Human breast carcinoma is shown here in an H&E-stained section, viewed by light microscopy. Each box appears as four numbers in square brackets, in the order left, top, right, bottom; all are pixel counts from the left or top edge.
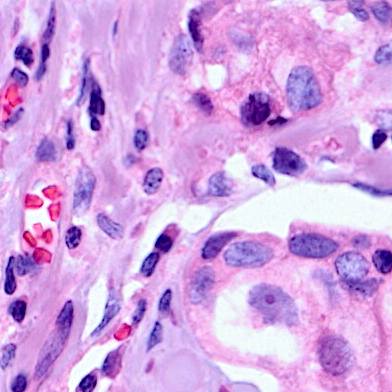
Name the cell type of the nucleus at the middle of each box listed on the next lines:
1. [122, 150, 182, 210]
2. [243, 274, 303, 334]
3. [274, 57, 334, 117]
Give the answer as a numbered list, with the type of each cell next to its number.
1. mast cell
2. carcinoma cell
3. carcinoma cell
